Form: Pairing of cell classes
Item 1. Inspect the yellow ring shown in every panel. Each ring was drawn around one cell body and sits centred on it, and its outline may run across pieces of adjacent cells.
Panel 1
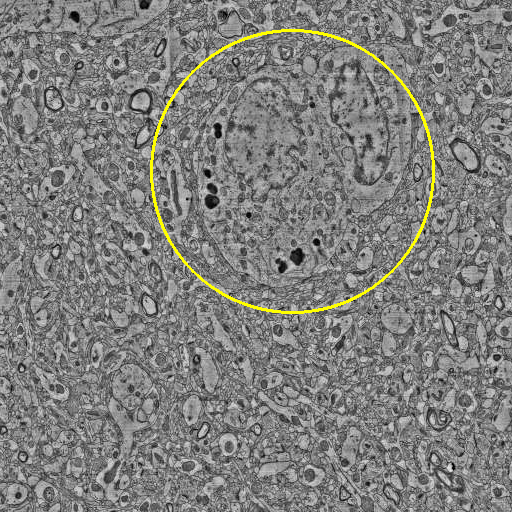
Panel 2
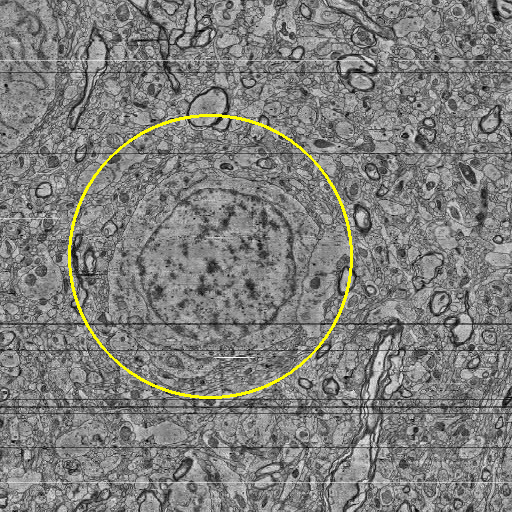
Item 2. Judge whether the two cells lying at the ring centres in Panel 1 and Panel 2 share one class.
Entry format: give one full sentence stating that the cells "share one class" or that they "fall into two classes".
The cells at the ring centres in Panel 1 and Panel 2 share one class.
